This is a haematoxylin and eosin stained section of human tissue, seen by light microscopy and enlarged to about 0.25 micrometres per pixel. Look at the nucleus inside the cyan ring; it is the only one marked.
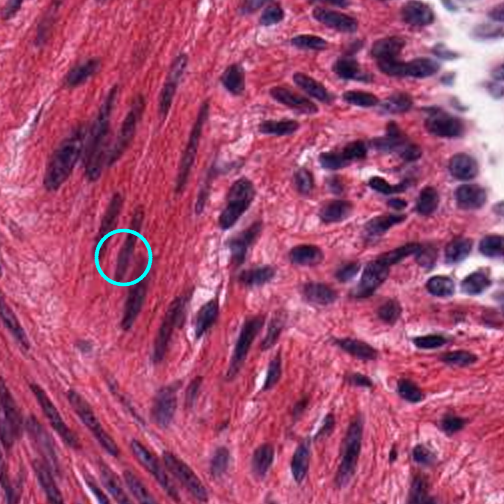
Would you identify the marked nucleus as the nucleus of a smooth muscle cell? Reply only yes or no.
yes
